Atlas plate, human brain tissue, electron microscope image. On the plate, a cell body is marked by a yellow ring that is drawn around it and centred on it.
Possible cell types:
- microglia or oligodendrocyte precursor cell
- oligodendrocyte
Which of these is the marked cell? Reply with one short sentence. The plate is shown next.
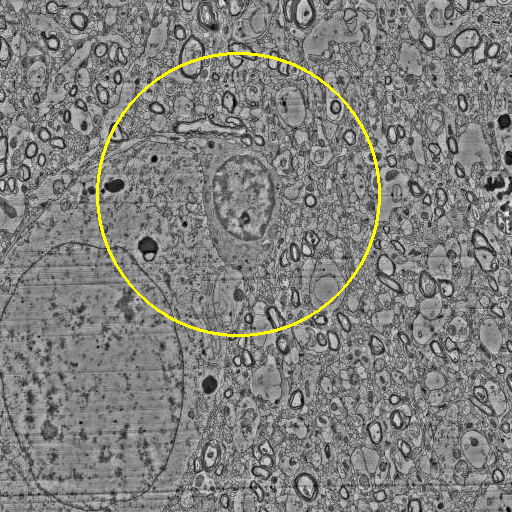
The marked cell is an oligodendrocyte.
